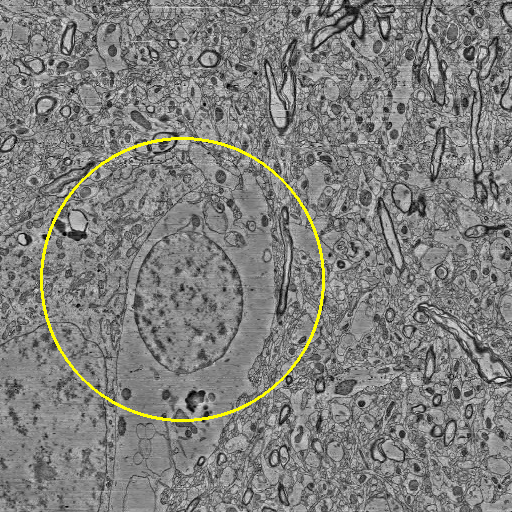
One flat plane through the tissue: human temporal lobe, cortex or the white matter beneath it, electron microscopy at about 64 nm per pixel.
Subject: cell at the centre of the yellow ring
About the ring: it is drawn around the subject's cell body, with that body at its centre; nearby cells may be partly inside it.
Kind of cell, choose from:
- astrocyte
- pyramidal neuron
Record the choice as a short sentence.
The subject cell is an astrocyte.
